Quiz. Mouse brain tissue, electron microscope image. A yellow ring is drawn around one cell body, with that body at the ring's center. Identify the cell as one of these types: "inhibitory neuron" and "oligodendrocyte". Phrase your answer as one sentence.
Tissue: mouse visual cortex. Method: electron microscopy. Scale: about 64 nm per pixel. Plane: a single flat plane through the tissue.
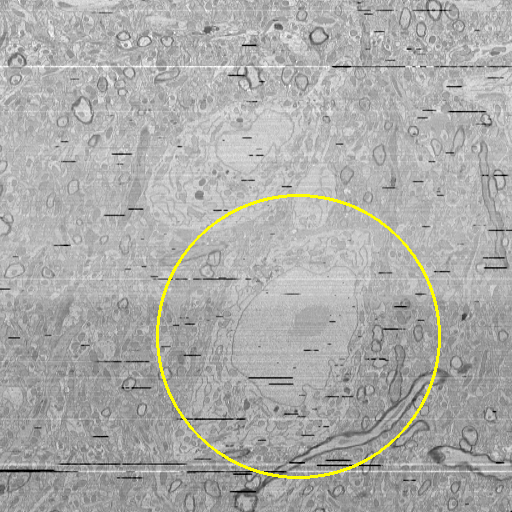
At the center of the ring sits an inhibitory neuron.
